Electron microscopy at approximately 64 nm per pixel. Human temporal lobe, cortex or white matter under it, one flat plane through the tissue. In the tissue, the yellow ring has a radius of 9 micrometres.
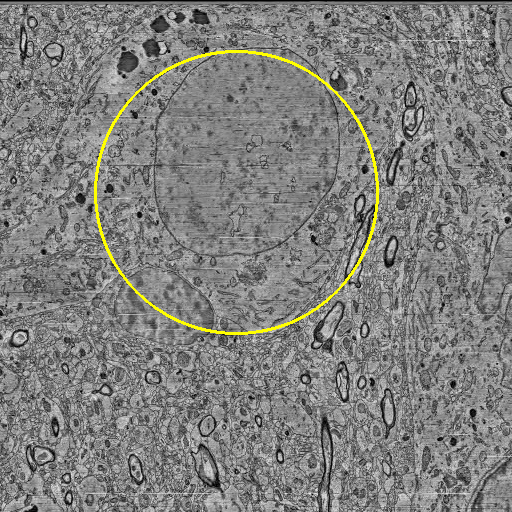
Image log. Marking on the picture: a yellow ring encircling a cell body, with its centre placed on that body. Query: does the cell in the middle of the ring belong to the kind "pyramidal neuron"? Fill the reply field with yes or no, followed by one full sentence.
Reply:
Yes, the cell at the centre of the yellow ring in this picture belongs to that kind.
